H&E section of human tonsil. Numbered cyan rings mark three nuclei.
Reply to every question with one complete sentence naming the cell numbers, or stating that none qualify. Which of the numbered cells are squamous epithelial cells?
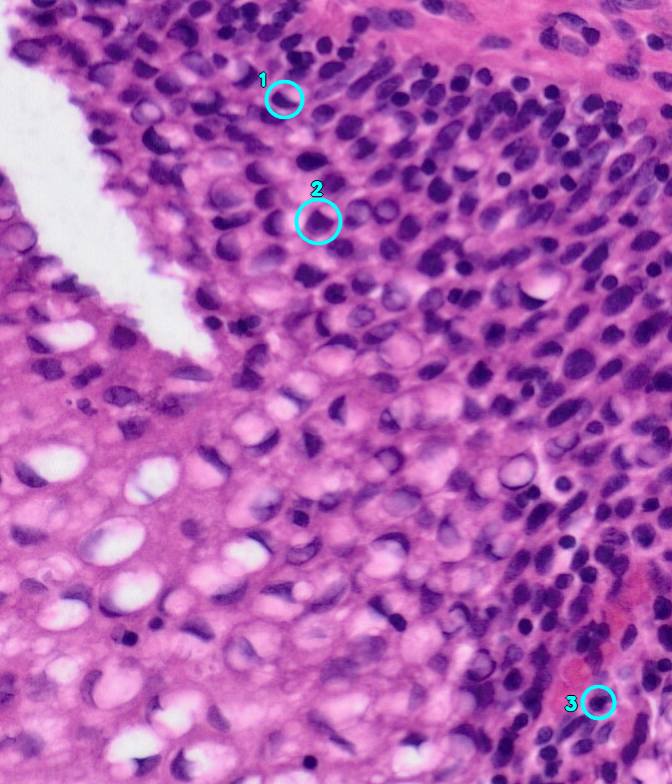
The cells that have numbers 1 and 2 are squamous epithelial cells.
